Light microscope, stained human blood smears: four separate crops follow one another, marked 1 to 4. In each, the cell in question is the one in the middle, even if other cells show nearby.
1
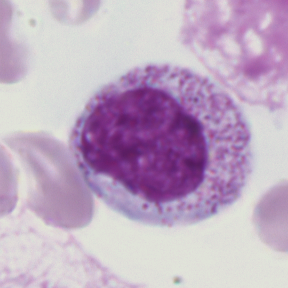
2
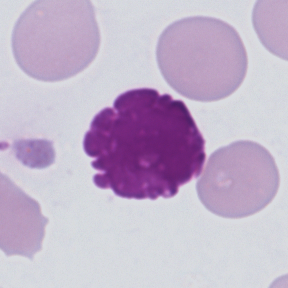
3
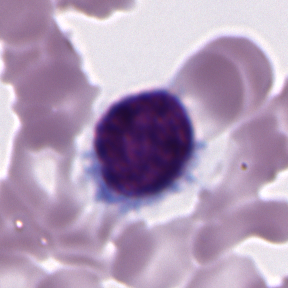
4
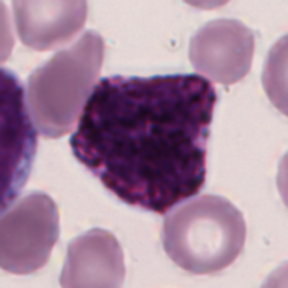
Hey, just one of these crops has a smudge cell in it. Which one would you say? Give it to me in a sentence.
It is the cell in crop 2 that is a smudge cell.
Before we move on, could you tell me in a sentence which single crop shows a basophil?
Crop 4 shows a basophil, and no other crop does.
